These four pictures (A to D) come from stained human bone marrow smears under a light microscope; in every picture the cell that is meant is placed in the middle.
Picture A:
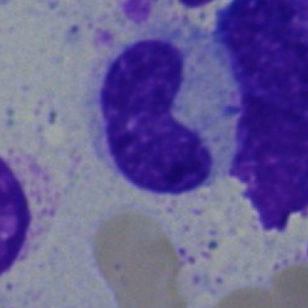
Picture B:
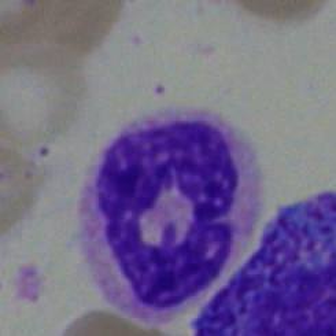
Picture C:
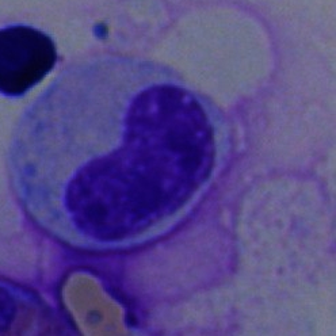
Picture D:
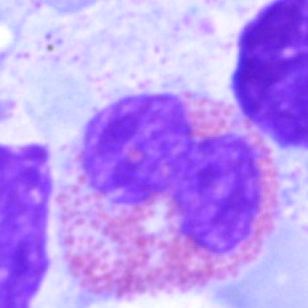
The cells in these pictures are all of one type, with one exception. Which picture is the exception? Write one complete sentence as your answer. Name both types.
Picture D differs, because its cell is an eosinophil and the rest are band neutrophils.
